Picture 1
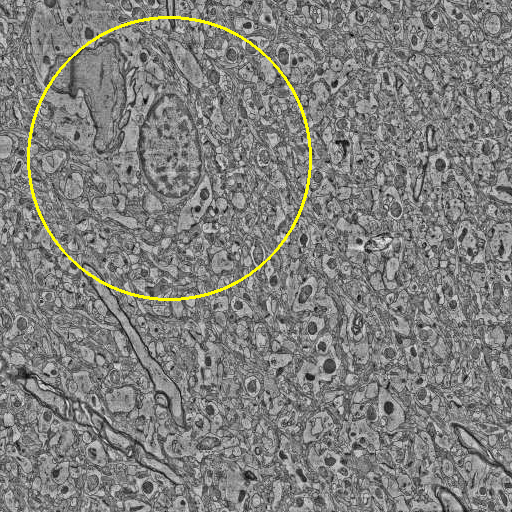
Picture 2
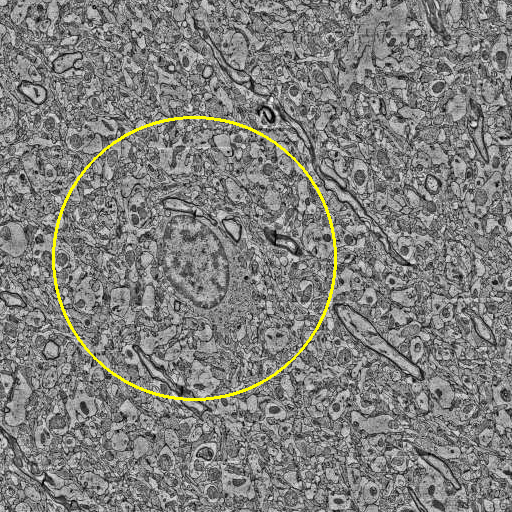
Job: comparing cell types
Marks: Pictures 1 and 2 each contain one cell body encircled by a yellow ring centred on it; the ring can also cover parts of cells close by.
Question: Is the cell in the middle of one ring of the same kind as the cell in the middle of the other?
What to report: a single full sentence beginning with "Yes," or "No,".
Yes, the cell at the ring centre in Picture 1 and its partner in Picture 2 are of one kind.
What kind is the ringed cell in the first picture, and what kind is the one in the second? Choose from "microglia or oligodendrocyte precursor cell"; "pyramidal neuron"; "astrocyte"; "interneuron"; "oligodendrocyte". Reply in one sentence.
Both rings mark an oligodendrocyte, one in each picture.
